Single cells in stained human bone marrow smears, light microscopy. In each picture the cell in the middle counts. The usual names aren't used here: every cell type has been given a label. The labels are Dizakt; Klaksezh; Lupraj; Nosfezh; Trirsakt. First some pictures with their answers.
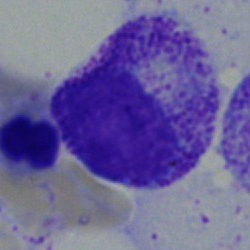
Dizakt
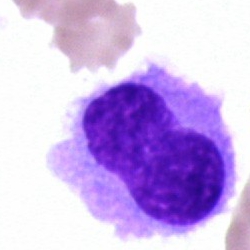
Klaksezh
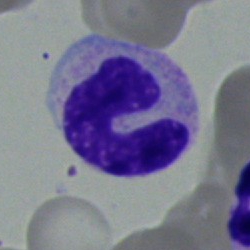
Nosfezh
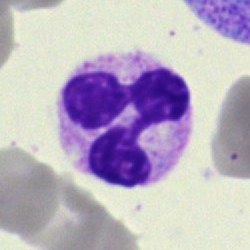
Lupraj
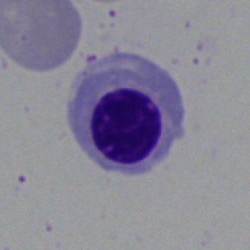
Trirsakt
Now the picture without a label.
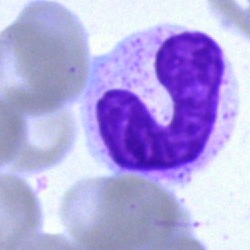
Nosfezh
